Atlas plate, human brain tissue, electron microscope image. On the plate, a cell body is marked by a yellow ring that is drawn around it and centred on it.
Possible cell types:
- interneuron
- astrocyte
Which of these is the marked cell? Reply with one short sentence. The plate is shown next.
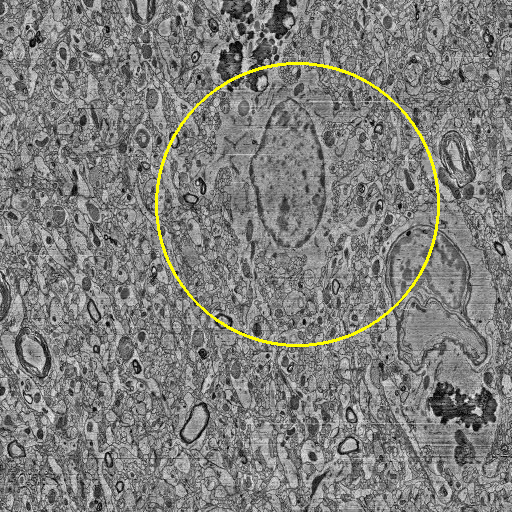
The marked cell is an astrocyte.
